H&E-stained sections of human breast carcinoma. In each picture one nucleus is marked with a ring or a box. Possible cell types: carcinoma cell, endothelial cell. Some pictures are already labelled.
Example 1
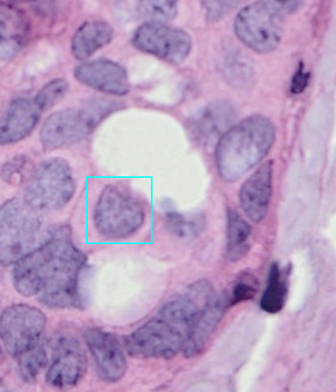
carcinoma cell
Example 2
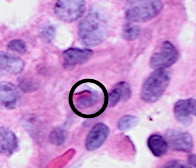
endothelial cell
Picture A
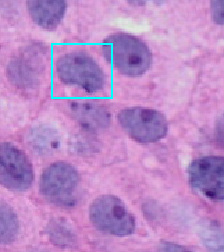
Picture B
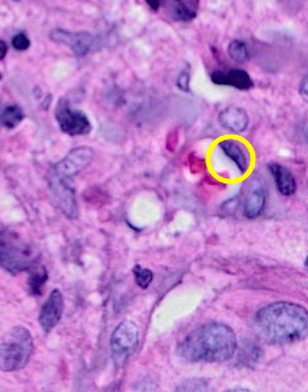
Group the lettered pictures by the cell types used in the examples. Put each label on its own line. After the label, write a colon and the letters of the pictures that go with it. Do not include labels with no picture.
carcinoma cell: A
endothelial cell: B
